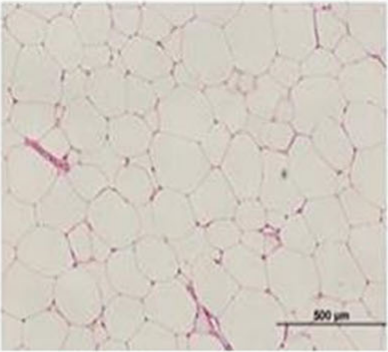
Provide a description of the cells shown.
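This is fat tissue made of large adipocytes packed together like a honeycomb. Each cell appears empty and pale because its single large lipid droplet was dissolved during processing, leaving only a thin pink rim of cytoplasm and membrane. Nuclei are scarce, small and flattened against the cell edges. A few thin pink strands of connective tissue carrying small vessels run between groups of cells.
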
